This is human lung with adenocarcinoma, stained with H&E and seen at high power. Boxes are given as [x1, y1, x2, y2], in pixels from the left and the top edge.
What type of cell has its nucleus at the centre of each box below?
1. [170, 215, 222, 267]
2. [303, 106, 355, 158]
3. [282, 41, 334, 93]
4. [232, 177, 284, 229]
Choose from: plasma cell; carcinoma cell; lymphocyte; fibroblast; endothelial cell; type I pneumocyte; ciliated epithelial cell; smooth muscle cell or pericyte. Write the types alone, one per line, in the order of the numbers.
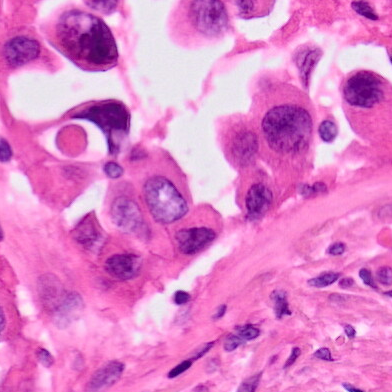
carcinoma cell
lymphocyte
carcinoma cell
carcinoma cell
